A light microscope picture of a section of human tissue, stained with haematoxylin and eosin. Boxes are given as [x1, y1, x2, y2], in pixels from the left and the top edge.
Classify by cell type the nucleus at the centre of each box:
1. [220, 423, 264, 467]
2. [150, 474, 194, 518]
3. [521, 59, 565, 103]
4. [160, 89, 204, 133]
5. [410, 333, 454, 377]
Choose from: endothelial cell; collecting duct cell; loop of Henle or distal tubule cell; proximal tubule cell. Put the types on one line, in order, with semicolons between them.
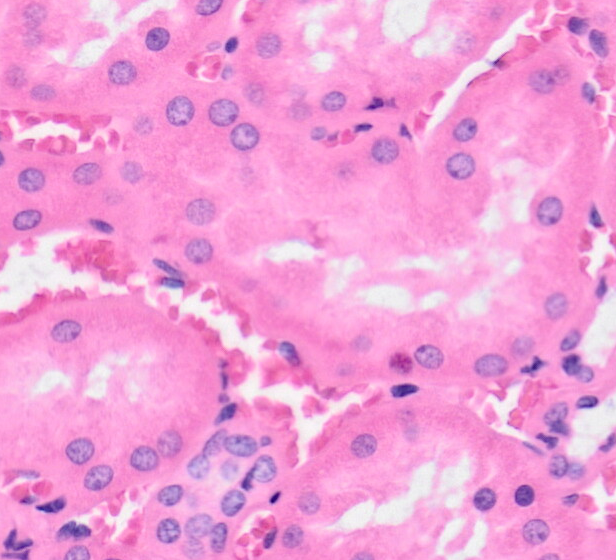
collecting duct cell; collecting duct cell; proximal tubule cell; proximal tubule cell; proximal tubule cell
